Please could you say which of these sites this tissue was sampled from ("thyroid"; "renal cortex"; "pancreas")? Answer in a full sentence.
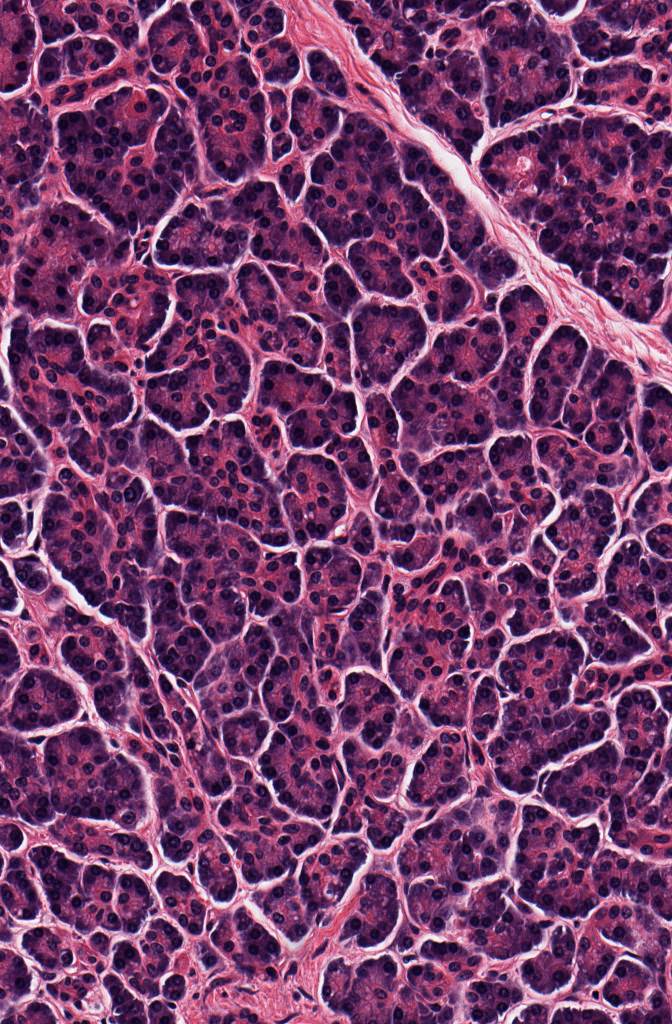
The site this tissue was sampled from is the pancreas.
